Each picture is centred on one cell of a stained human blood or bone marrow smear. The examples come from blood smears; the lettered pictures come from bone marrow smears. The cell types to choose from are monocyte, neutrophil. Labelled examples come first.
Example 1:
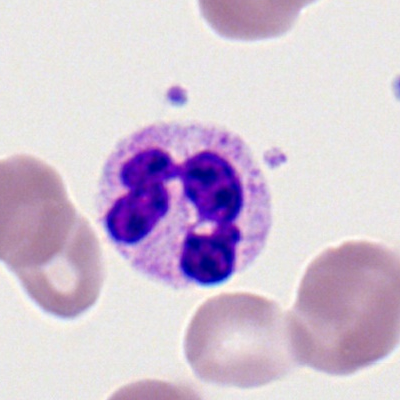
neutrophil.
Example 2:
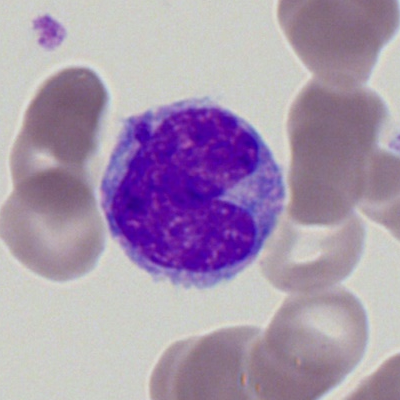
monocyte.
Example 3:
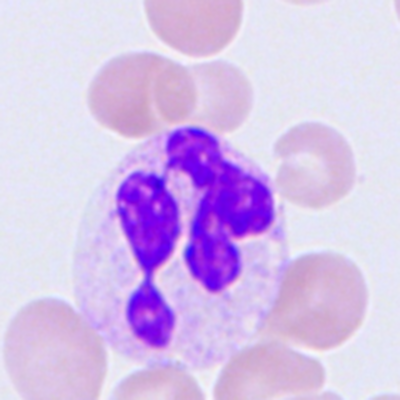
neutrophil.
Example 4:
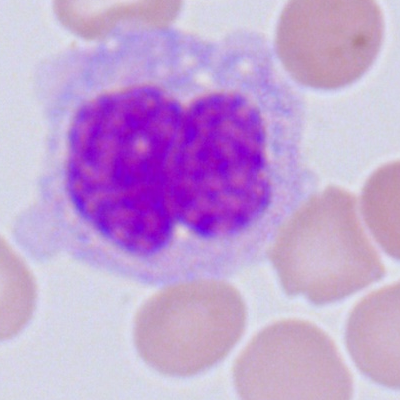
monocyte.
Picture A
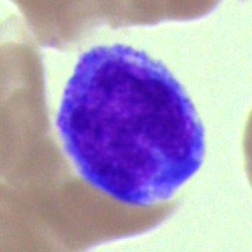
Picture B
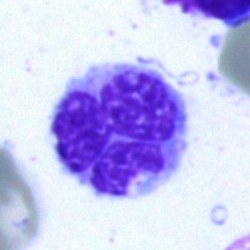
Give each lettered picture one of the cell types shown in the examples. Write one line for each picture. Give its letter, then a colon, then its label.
A: monocyte.
B: monocyte.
